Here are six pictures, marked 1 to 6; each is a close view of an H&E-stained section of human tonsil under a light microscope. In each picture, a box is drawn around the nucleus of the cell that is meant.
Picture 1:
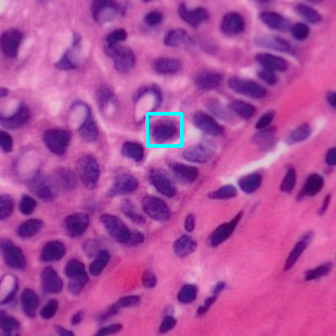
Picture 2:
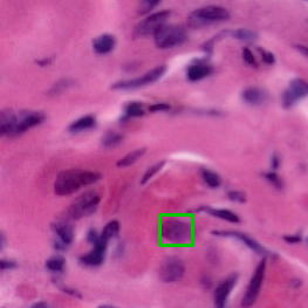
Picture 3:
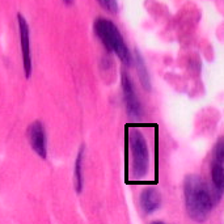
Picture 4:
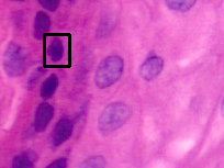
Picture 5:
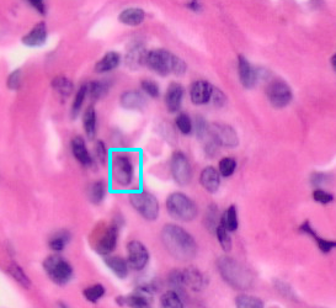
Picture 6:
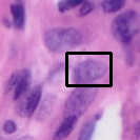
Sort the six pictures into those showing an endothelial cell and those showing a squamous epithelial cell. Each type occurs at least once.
1: squamous epithelial cell
2: endothelial cell
3: endothelial cell
4: squamous epithelial cell
5: endothelial cell
6: endothelial cell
